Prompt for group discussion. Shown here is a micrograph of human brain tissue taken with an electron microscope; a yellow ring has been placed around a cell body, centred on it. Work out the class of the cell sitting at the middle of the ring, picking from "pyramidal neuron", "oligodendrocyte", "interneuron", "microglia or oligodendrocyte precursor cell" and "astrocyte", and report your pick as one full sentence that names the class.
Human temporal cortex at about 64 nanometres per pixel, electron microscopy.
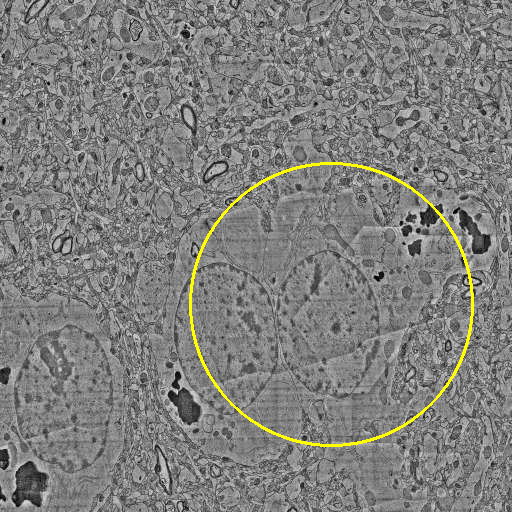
The cell sitting at the middle of the yellow ring is an astrocyte.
